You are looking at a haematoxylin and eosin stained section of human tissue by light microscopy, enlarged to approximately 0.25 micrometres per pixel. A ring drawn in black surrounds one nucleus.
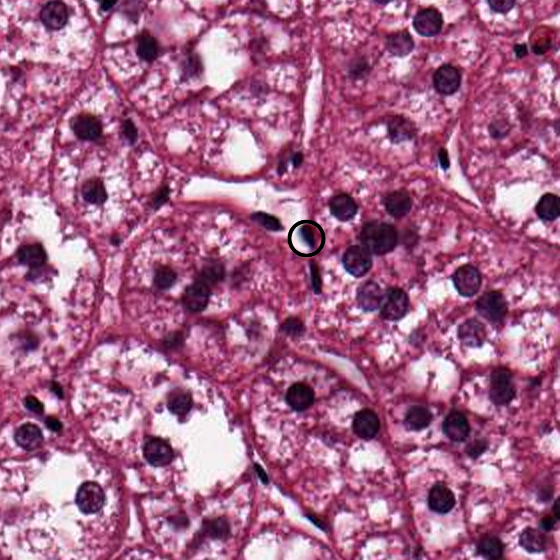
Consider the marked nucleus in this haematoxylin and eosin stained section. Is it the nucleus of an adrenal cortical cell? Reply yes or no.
no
